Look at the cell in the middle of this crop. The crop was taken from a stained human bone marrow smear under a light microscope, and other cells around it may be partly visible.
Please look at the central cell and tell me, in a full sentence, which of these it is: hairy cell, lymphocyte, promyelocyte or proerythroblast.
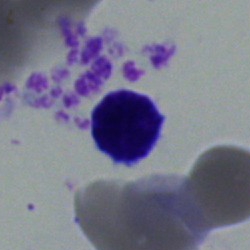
The cell under consideration, at the middle of the crop, is a lymphocyte.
